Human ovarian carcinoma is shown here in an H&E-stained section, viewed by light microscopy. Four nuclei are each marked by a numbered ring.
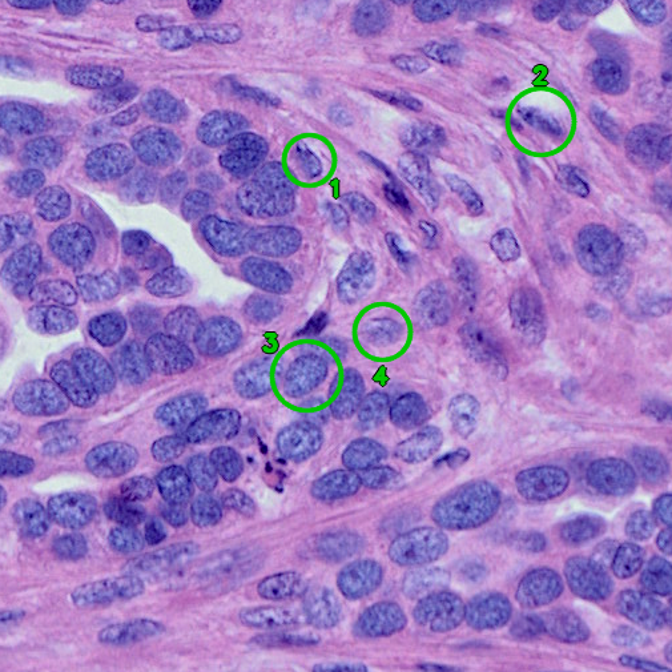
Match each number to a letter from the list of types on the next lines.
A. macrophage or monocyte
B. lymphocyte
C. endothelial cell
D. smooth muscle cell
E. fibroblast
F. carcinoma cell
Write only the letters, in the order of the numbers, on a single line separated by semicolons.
E; E; F; E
